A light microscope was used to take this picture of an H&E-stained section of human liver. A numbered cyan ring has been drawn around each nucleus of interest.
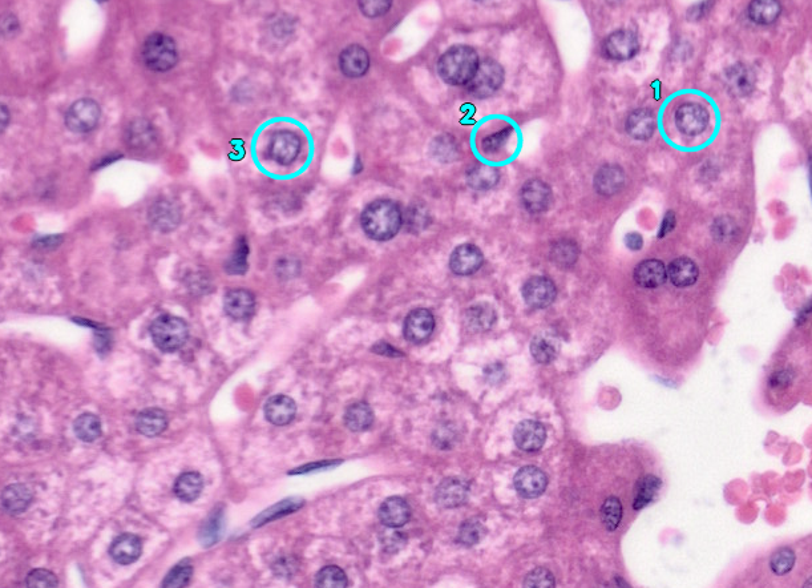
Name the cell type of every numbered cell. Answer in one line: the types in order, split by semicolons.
hepatocyte; fibroblast or stellate cell; hepatocyte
